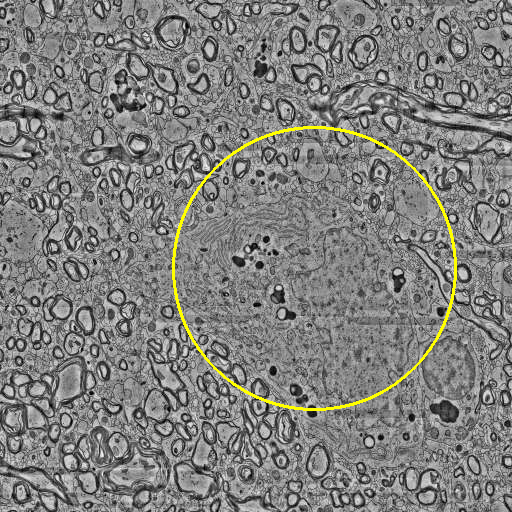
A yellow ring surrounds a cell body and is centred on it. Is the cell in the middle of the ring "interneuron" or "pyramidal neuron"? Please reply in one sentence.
The ring is centred on an interneuron.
